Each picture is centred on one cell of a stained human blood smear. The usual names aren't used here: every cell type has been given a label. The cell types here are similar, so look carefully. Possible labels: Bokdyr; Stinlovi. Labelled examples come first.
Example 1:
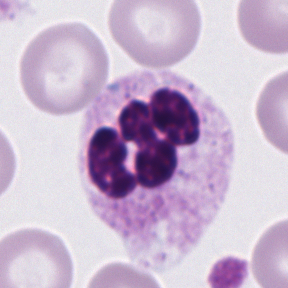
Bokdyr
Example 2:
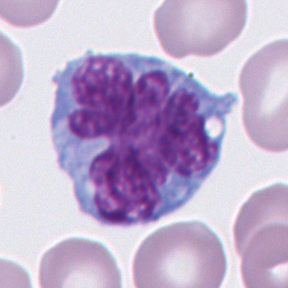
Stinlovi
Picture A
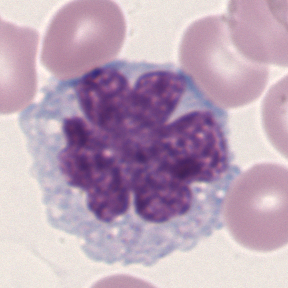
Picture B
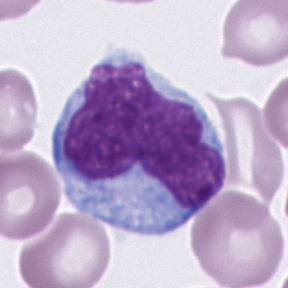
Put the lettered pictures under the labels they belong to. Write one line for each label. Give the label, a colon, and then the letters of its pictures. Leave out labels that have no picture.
Stinlovi: A, B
